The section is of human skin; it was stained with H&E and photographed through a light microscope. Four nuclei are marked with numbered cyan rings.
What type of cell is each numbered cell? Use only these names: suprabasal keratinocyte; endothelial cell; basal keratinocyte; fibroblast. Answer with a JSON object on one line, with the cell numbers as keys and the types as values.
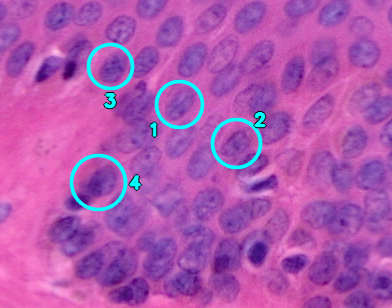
{"1": "suprabasal keratinocyte", "2": "suprabasal keratinocyte", "3": "basal keratinocyte", "4": "basal keratinocyte"}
